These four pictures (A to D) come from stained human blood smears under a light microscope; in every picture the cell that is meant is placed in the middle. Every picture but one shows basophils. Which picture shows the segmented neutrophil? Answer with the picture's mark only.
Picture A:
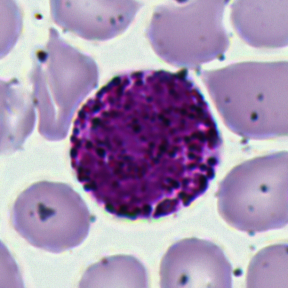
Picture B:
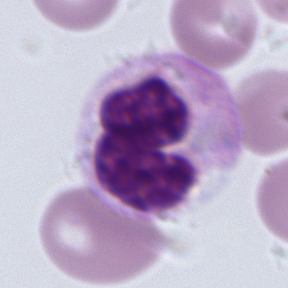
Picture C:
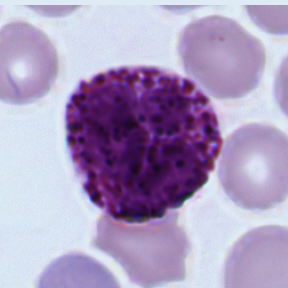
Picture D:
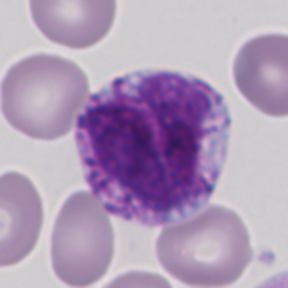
B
